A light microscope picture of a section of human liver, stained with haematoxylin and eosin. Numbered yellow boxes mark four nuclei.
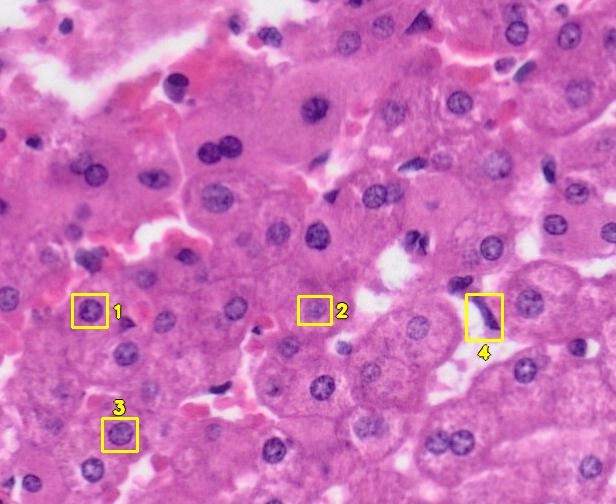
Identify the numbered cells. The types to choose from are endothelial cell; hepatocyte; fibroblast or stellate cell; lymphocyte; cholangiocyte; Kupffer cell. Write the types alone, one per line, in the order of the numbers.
hepatocyte
hepatocyte
hepatocyte
Kupffer cell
